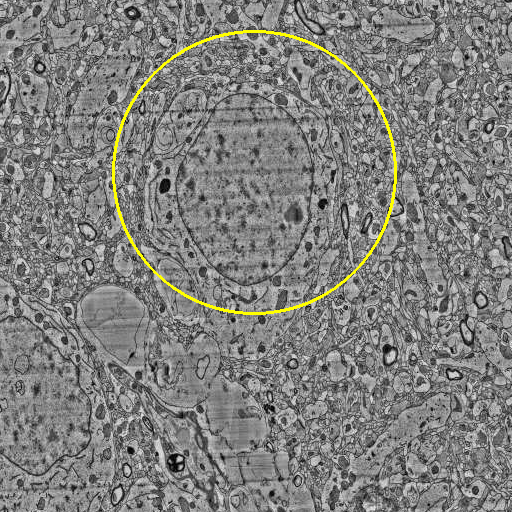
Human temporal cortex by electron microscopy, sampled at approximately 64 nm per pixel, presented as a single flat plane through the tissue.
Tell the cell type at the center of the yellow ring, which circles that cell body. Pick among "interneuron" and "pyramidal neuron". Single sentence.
The ring is centered on the body of a pyramidal neuron.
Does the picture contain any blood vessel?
Yes, there is one.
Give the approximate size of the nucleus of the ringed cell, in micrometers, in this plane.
Roughly 11 by 9 micrometres is the size of the nucleus in this plane.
